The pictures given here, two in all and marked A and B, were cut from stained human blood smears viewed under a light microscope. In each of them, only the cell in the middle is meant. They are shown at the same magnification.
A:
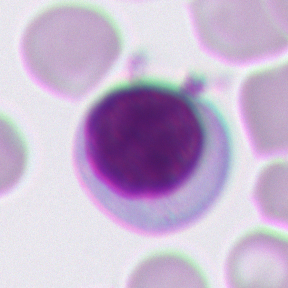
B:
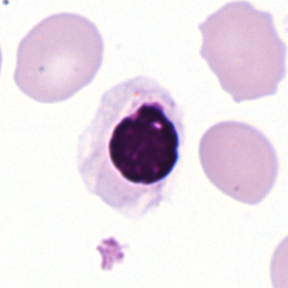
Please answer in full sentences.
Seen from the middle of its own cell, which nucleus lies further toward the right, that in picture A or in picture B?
In picture B the nucleus is shifted more toward the right.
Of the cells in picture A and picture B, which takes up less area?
Smaller is the cell in picture B, and the other is about 2 times as large in area.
